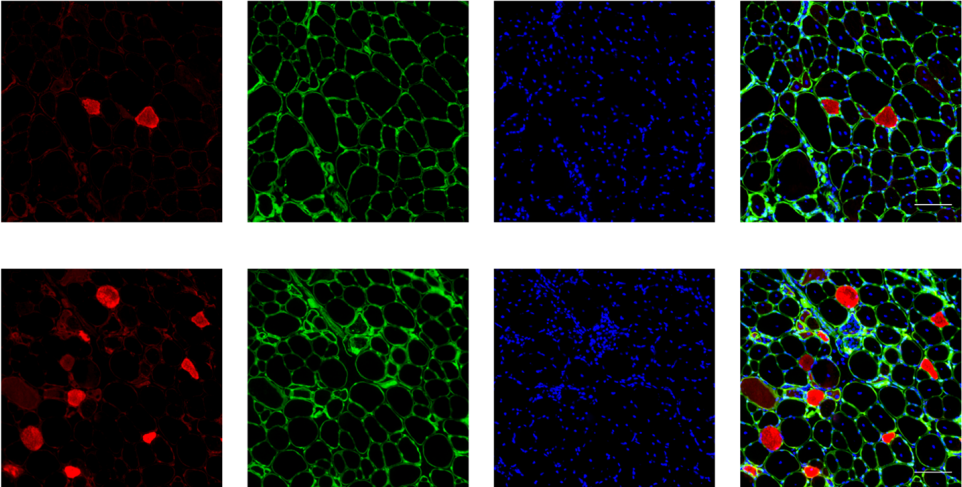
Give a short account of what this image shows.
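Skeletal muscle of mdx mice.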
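The fibers vary a lot in size, with large and small profiles mixed together and some rounded ones. Blue nuclei sit mostly at the fiber edges and gather in denser clusters in the spaces between fibers. A minority of fibers are filled with red, scattered singly among the unstained fibers. The lower row shows more of these red-filled fibers than the upper row.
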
